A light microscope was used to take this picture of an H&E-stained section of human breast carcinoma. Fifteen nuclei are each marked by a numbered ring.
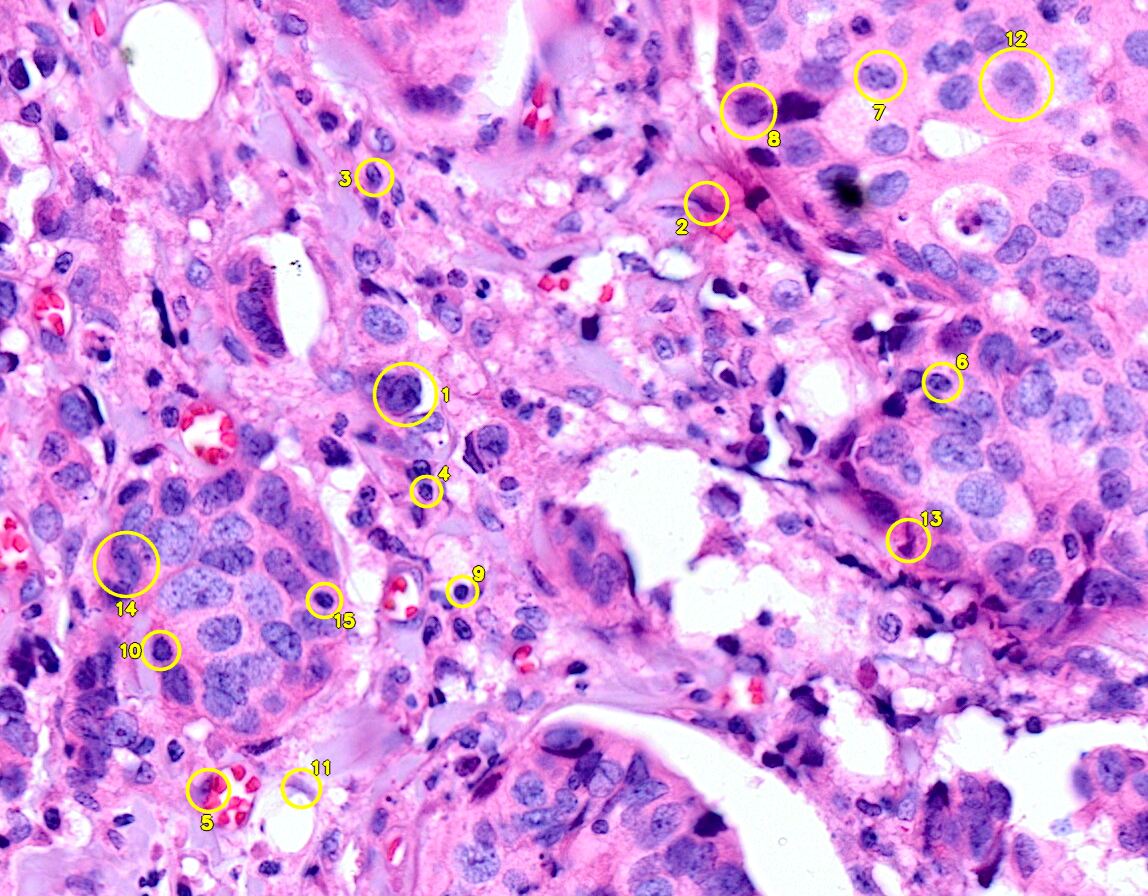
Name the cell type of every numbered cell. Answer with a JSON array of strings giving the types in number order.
["carcinoma cell", "endothelial cell", "mast cell", "lymphocyte", "endothelial cell", "lymphocyte", "carcinoma cell", "carcinoma cell", "lymphocyte", "carcinoma cell", "fibroblast", "carcinoma cell", "carcinoma cell", "carcinoma cell", "lymphocyte"]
